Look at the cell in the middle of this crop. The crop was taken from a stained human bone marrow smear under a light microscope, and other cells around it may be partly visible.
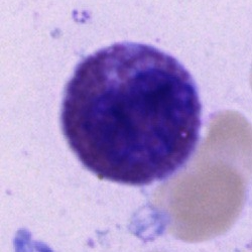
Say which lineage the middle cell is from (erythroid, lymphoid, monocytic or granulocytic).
granulocytic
